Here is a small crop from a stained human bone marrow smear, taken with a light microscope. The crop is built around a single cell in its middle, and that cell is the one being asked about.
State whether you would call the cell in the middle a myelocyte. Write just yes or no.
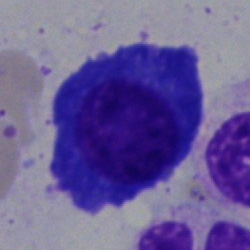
no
